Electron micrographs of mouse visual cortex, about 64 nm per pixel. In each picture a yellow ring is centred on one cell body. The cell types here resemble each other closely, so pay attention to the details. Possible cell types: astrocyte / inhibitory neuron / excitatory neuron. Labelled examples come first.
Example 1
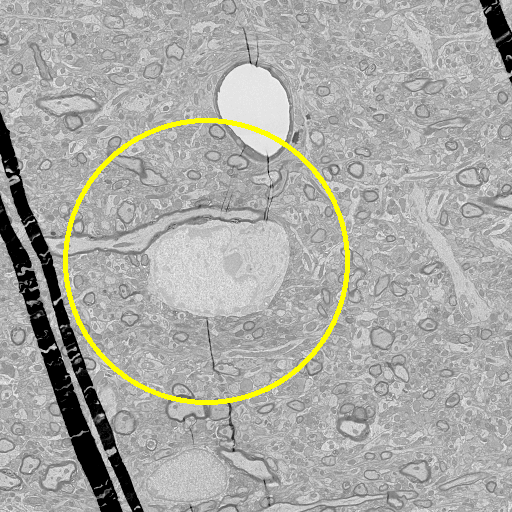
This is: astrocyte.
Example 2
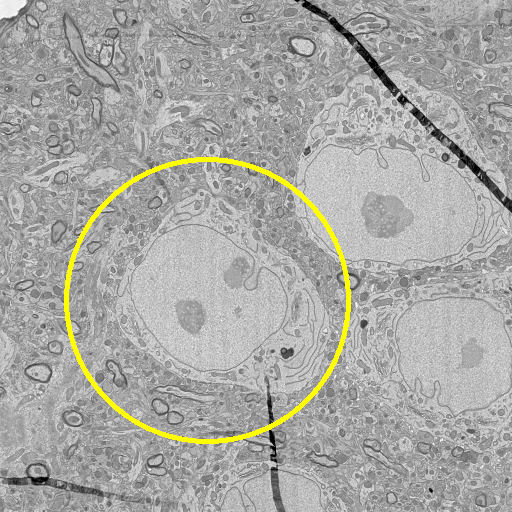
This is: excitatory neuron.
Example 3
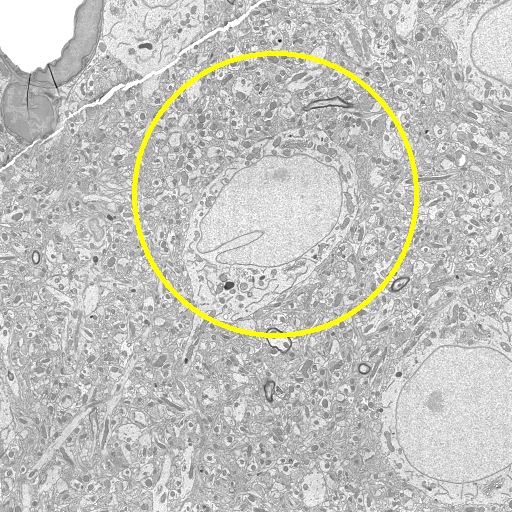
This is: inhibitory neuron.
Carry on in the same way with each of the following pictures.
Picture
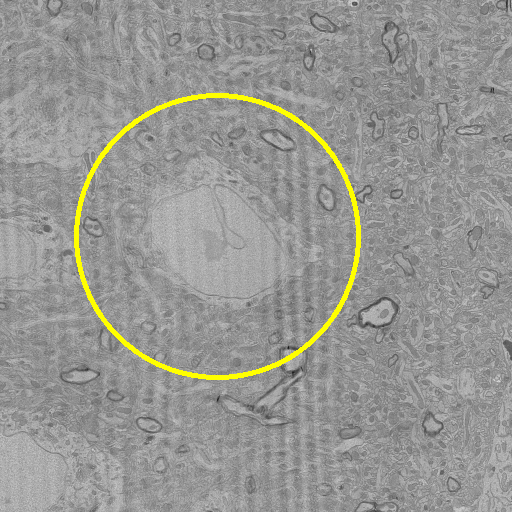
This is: excitatory neuron.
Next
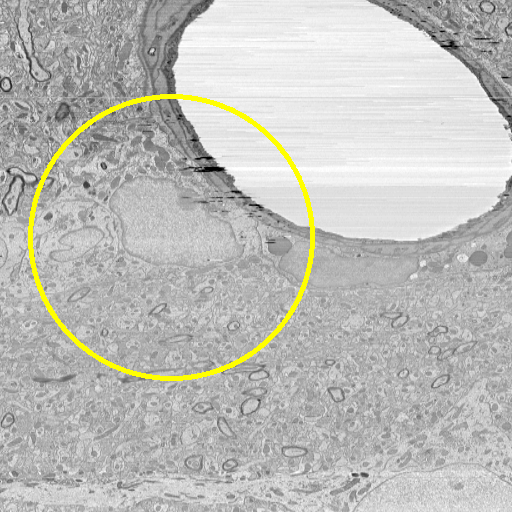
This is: astrocyte.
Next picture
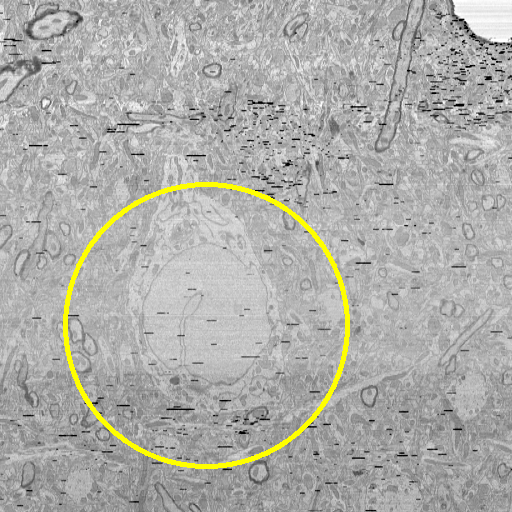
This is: inhibitory neuron.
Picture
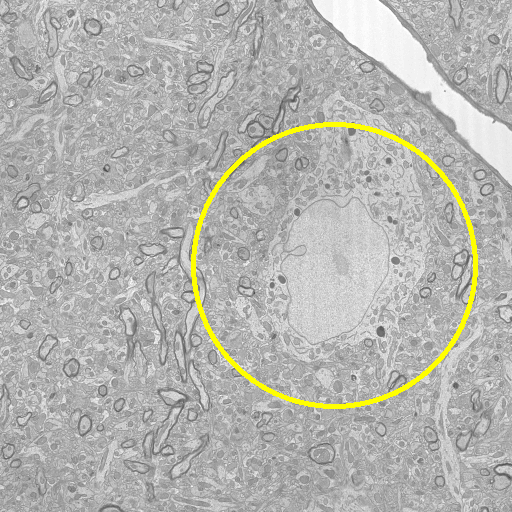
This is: inhibitory neuron.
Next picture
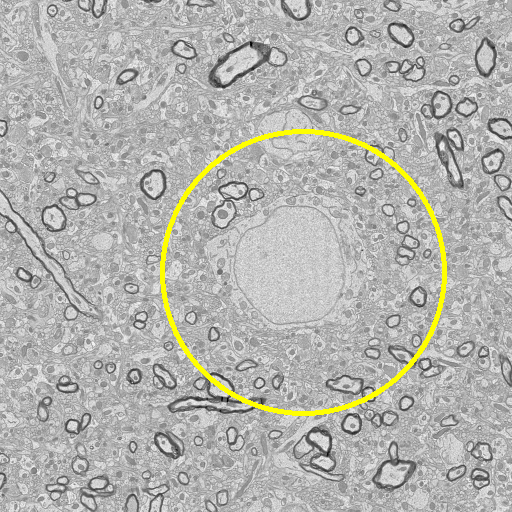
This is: excitatory neuron.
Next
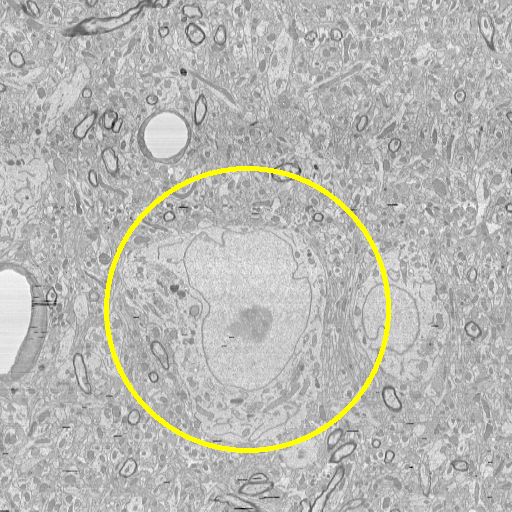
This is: excitatory neuron.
